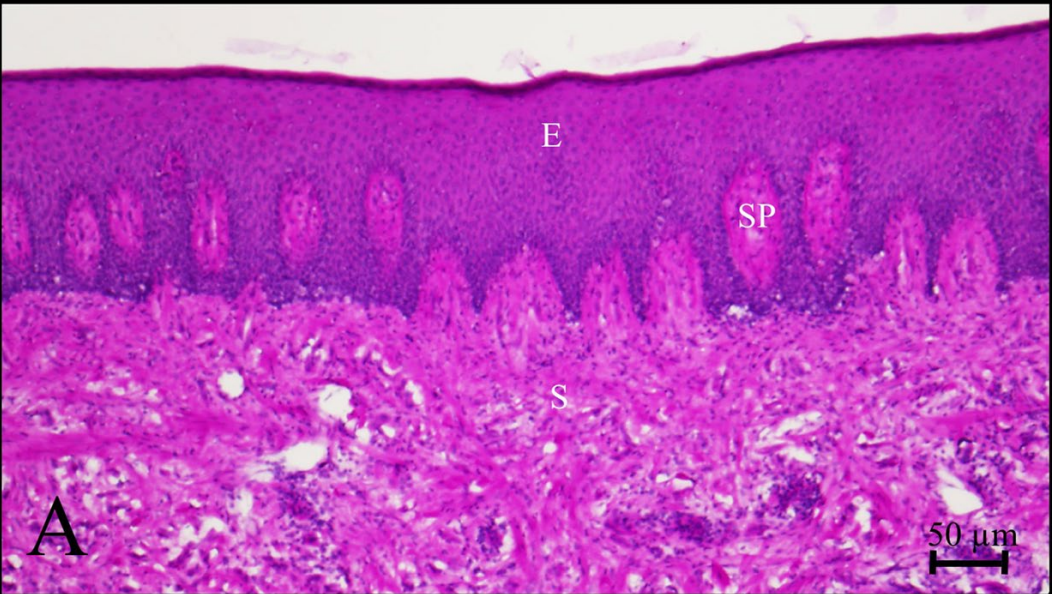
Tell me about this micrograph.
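A thick stratified squamous epithelium lies over a dense connective tissue stroma. The epithelial surface is smooth and is capped by a thin, darker magenta layer. The deep part of the epithelium is more crowded with nuclei and stains a darker purple. It sends ridges down into the stroma, and finger-like stromal papillae push up between these ridges. Several papillae are cut across and so appear as pale pink oval islands lying within the epithelium. Below, the stroma is made of interwoven magenta fibres, with small clear spaces and scattered clusters of dark nuclei.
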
